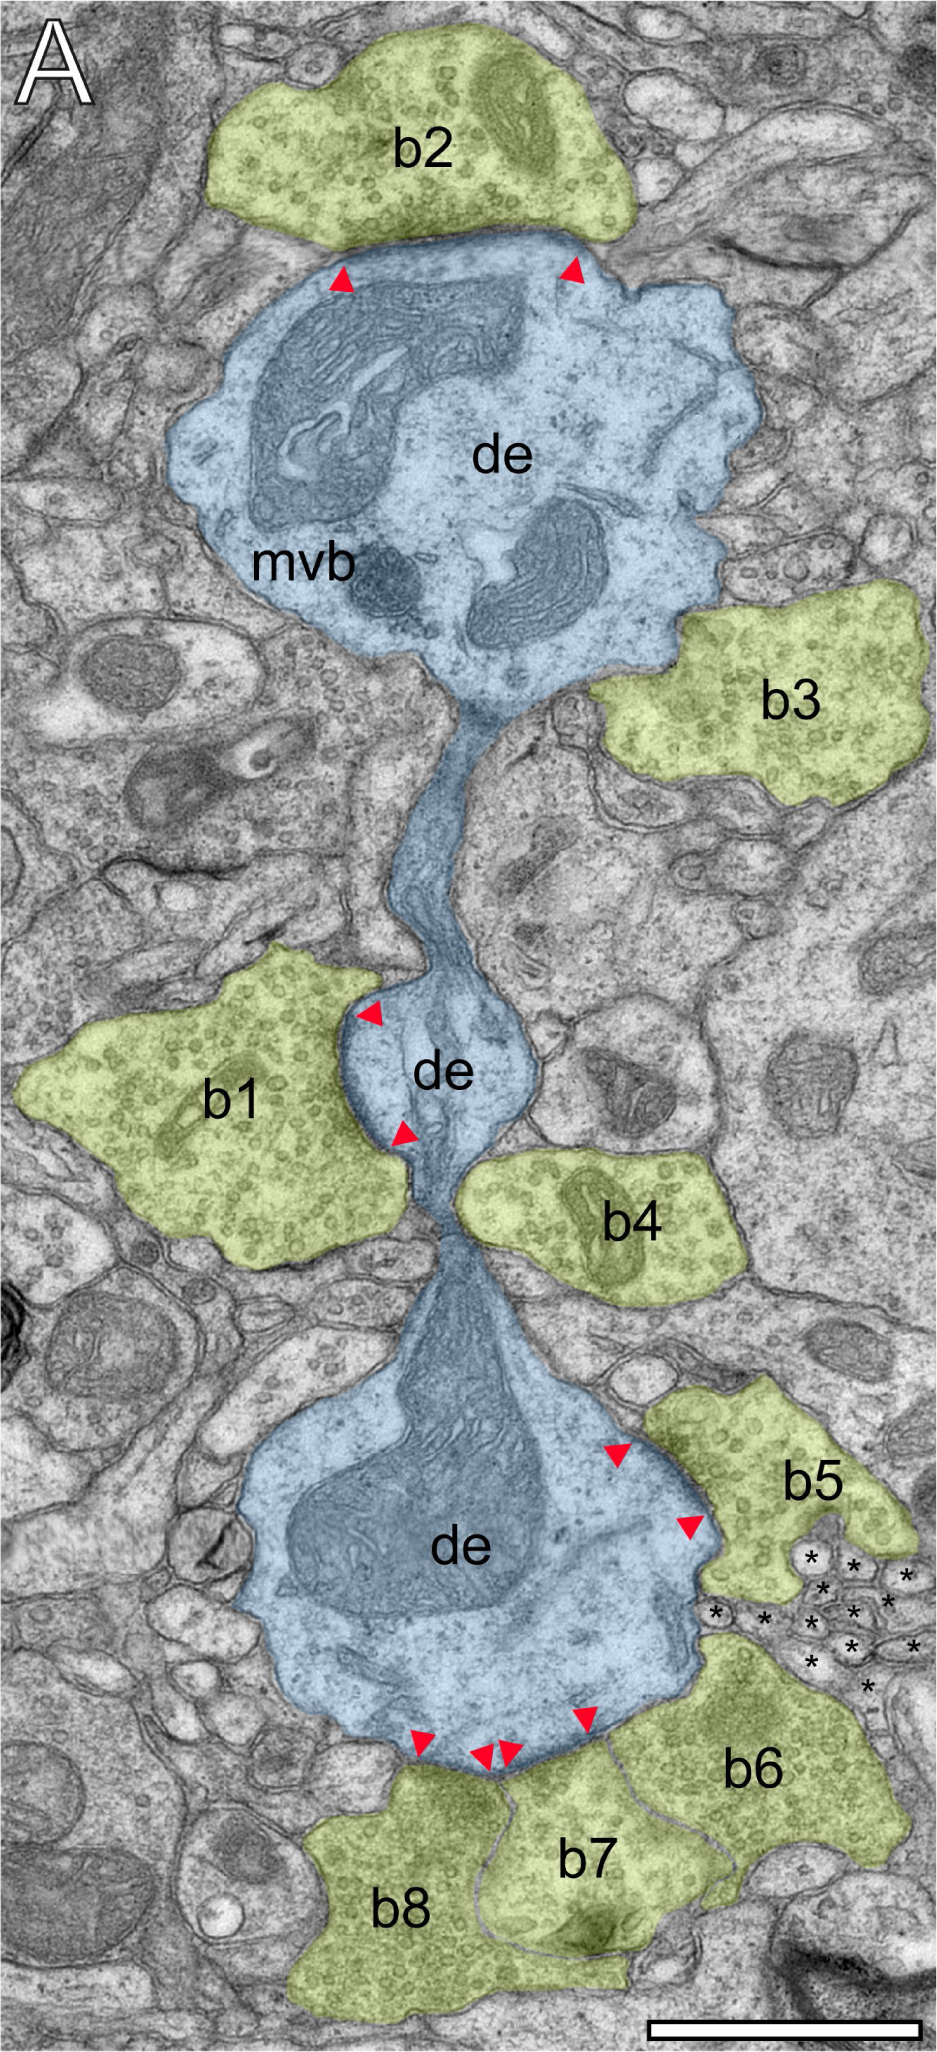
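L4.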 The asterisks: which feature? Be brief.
unmyelinated axons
